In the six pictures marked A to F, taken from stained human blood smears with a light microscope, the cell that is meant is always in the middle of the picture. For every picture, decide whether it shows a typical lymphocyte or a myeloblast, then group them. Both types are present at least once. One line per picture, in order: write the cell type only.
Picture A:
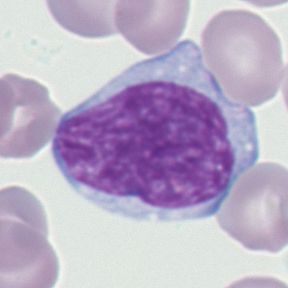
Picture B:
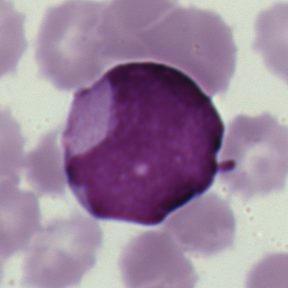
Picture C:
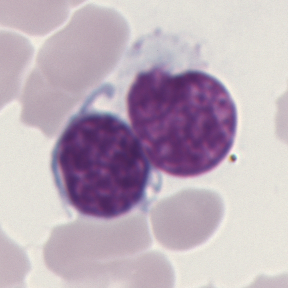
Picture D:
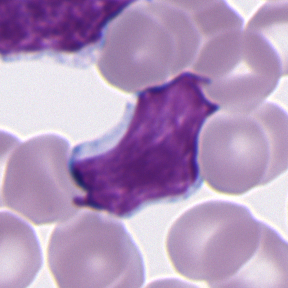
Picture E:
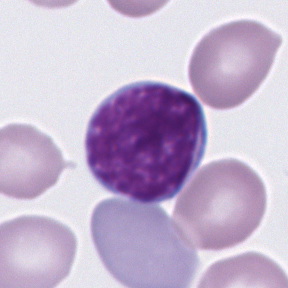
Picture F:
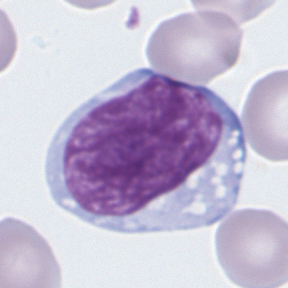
myeloblast
myeloblast
myeloblast
typical lymphocyte
typical lymphocyte
myeloblast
